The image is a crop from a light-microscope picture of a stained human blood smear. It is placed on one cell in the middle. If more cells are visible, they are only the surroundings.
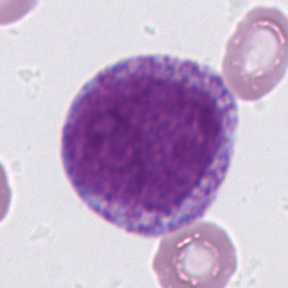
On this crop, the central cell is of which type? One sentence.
This particular crop is centered on a promyelocyte.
